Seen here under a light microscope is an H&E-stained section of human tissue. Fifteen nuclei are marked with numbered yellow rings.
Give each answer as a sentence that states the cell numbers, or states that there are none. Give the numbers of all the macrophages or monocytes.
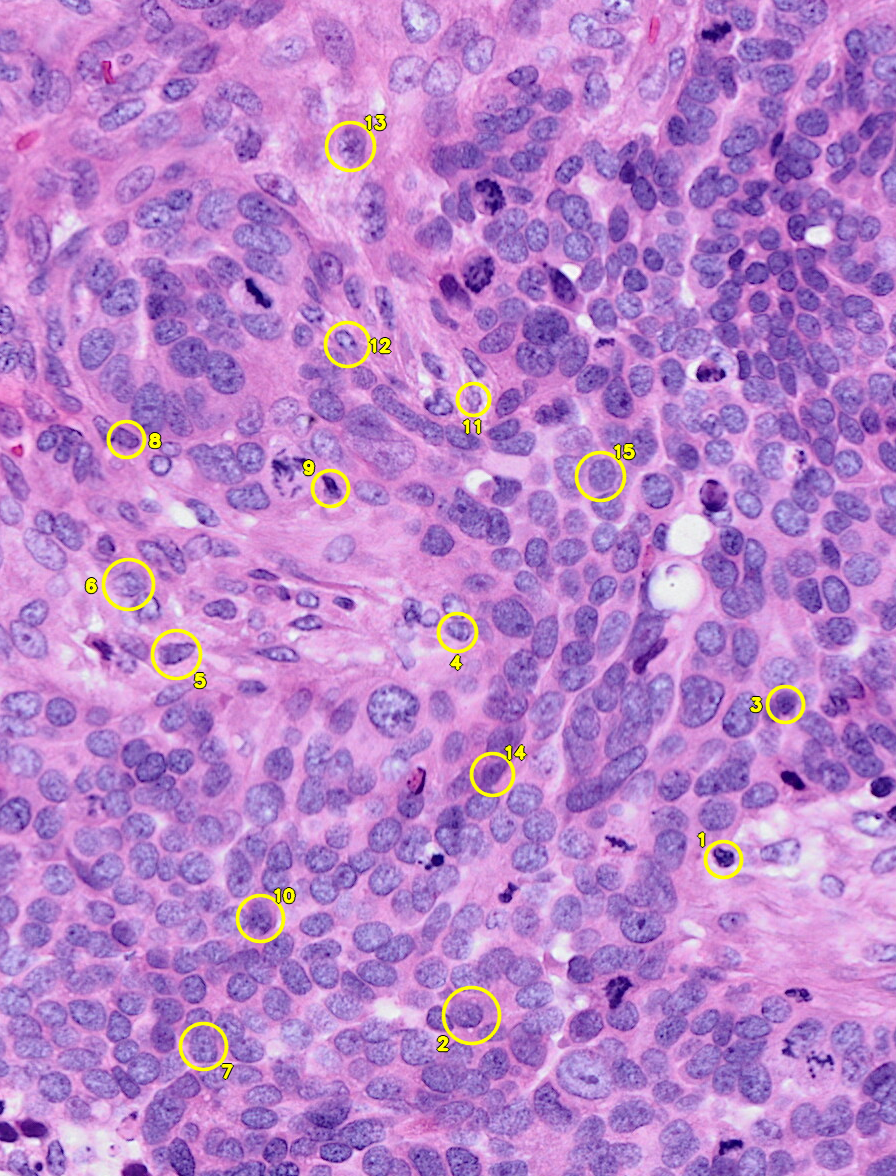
Cells 5 and 8 in the section are typed as macrophages or monocytes.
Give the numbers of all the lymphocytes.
The cells marked 1 and 9 in the section are lymphocytes.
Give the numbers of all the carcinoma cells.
The cells that the numbers 2, 3, 7, 10, 14 and 15 belong to are carcinoma cells.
